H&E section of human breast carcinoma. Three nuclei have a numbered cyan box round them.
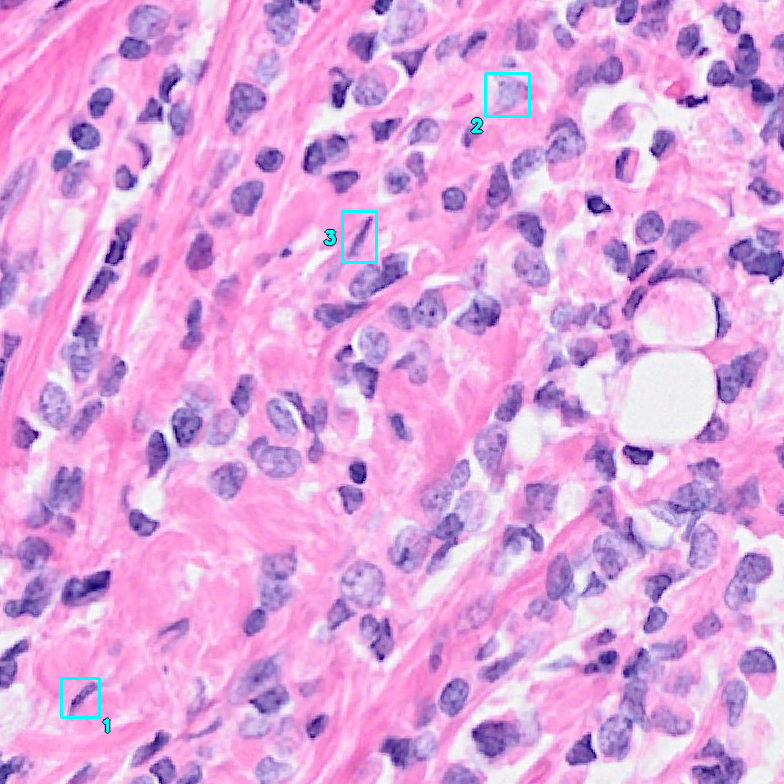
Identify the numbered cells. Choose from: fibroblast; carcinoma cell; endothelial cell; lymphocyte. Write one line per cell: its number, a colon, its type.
1: fibroblast
2: endothelial cell
3: fibroblast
